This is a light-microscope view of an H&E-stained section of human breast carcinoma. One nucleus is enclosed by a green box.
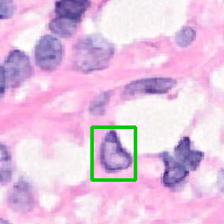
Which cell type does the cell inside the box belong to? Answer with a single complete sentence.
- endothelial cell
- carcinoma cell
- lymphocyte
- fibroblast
By cell type, the cell inside the box is a carcinoma cell.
